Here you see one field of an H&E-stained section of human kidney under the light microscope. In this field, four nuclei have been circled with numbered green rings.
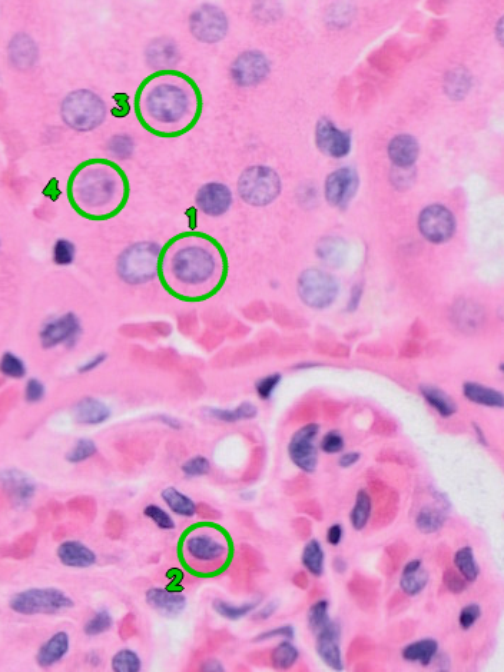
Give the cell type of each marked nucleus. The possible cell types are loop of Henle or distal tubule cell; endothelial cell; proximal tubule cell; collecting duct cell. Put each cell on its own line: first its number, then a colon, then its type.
1: proximal tubule cell
2: endothelial cell
3: proximal tubule cell
4: proximal tubule cell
